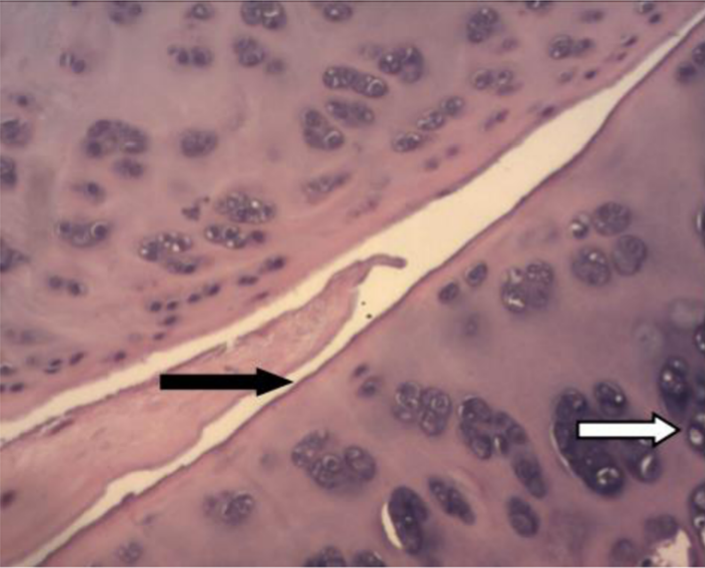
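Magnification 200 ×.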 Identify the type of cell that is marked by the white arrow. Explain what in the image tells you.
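Chondrocytes. Round cells sit in clear lacunae within a smooth pink-purple matrix. The matrix around the clusters stains darker purple.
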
